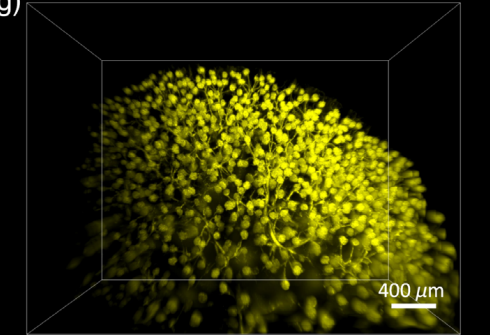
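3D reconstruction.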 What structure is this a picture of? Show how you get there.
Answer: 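Many small round balls of similar size are packed across a curved surface. Fine thread-like vessels run between and into the round balls. On this evidence: glomerular tufts.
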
